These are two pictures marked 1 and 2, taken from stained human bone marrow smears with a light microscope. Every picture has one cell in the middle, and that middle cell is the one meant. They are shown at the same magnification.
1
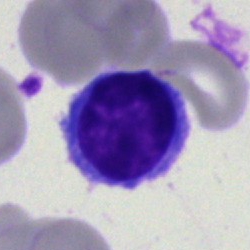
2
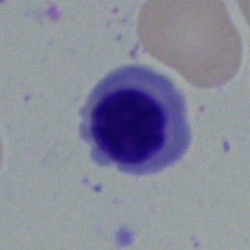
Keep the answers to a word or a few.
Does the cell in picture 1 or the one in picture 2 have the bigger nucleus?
1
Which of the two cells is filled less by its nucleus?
2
